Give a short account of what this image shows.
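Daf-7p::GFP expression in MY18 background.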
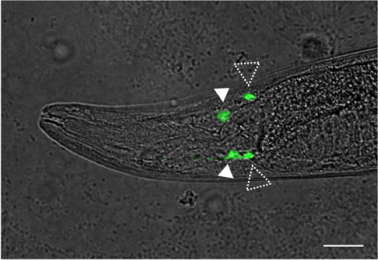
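This is the front end of a worm seen in transmitted light, with green fluorescence overlaid on a few neurons in the head. Two pairs of small, bright green cell bodies sit on either side of the head: one pair is marked by filled white arrowheads, and a second pair, a little further back and further out to the sides, by open dashed arrowheads. The rest of the head shows only the grey, finely granular texture of the body, bounded by the smooth outline of the cuticle that narrows to the rounded tip on the left.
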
